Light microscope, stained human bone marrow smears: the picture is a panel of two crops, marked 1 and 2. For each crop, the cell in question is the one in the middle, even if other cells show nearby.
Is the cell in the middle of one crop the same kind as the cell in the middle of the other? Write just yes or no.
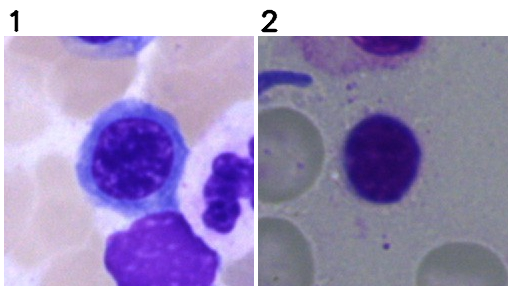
no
